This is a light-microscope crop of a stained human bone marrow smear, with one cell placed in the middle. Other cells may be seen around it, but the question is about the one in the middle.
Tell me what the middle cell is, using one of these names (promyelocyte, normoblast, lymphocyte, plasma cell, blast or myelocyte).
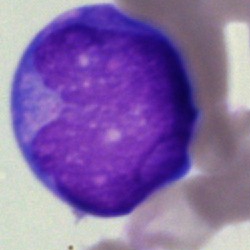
blast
